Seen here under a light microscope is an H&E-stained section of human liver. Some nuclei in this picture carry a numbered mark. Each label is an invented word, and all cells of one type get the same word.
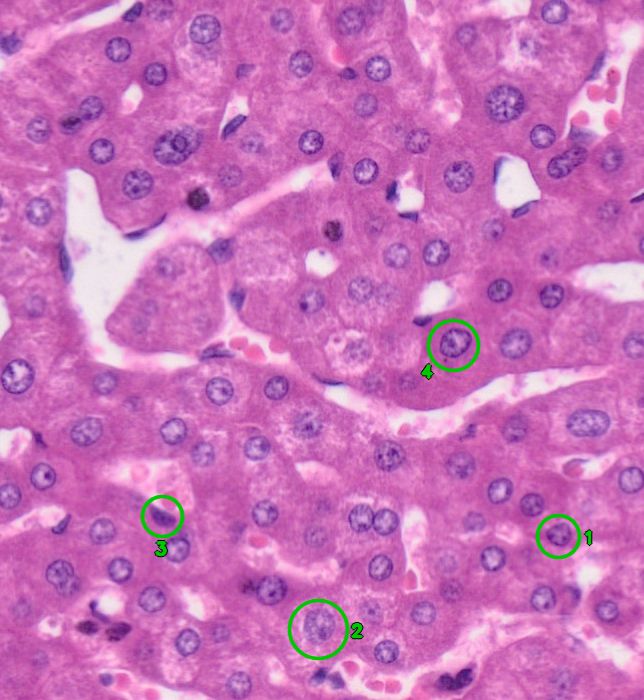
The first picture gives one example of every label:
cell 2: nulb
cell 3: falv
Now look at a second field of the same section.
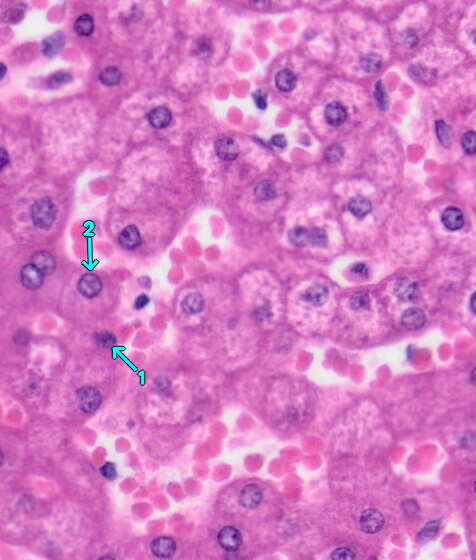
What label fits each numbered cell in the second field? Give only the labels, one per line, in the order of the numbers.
falv
nulb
